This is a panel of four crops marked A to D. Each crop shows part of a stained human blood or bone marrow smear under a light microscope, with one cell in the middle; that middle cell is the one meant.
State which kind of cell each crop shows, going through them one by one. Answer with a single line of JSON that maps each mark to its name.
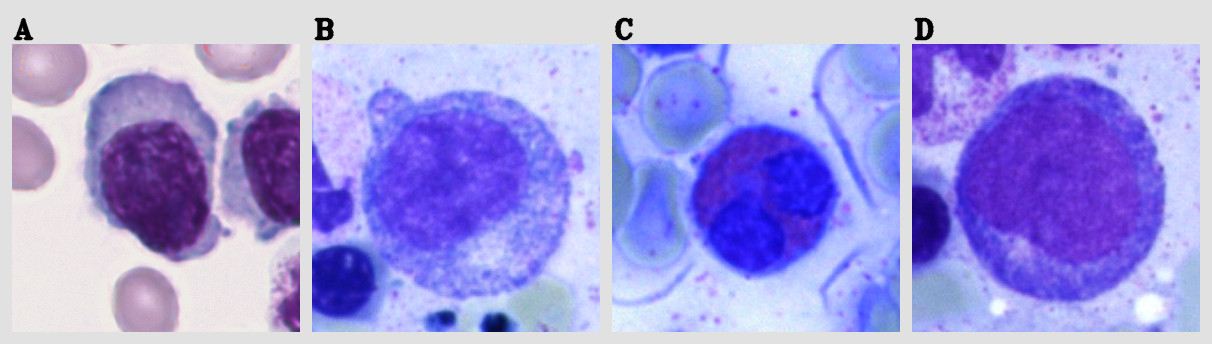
{"A": "plasma cell", "B": "promyelocyte", "C": "eosinophil", "D": "promyelocyte"}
